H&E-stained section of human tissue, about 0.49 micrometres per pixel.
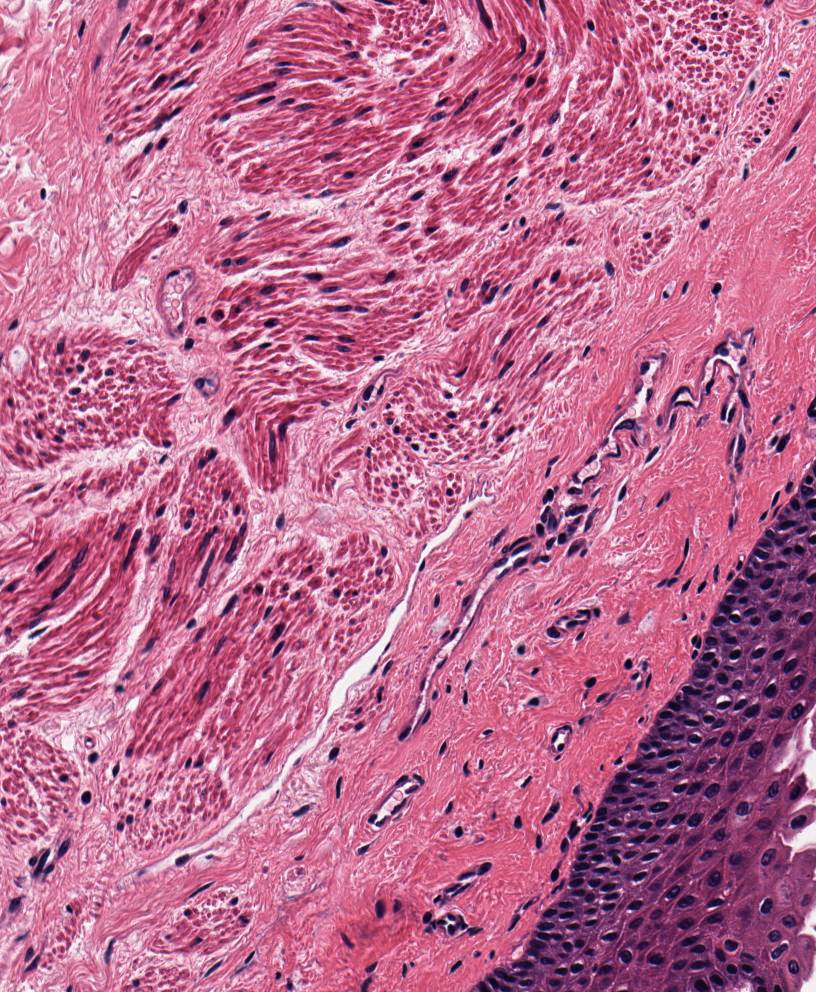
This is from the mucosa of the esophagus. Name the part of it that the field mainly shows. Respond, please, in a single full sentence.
This tissue section is a view of smooth muscle.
